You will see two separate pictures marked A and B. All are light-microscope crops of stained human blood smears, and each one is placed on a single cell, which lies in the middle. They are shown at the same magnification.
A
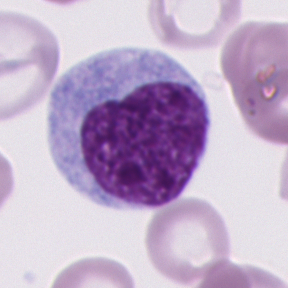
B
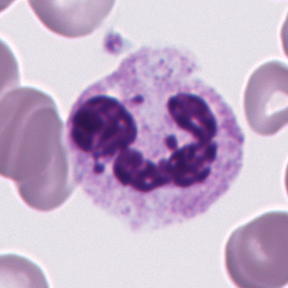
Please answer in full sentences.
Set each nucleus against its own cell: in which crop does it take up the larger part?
Of the two, the nucleus in picture A makes up the greater part of its cell.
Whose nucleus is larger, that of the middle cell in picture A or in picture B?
The nucleus in picture A is larger, with about 1.5 times the area of the one in picture B.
